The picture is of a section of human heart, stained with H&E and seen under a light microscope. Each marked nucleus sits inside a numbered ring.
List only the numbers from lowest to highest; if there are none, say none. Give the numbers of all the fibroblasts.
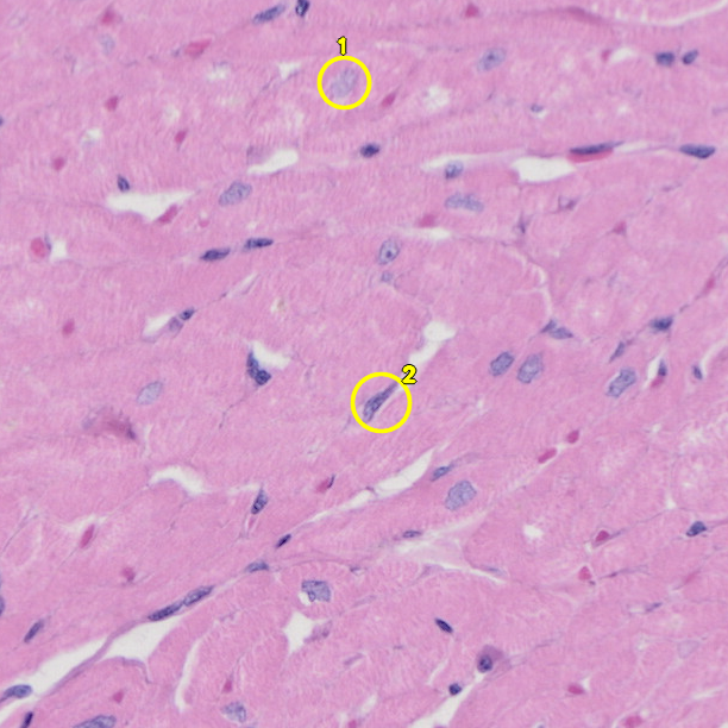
none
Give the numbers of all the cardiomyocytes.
1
